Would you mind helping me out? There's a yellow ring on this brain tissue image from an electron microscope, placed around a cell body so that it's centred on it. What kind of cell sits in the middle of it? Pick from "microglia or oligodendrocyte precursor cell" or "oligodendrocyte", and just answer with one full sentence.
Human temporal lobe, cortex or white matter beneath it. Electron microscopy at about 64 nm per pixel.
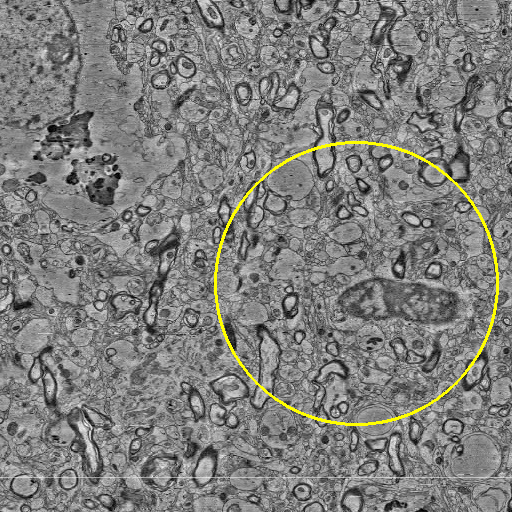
What sits in the middle of that yellow ring is a microglial cell or oligodendrocyte precursor cell, from your choices.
